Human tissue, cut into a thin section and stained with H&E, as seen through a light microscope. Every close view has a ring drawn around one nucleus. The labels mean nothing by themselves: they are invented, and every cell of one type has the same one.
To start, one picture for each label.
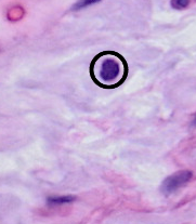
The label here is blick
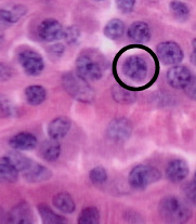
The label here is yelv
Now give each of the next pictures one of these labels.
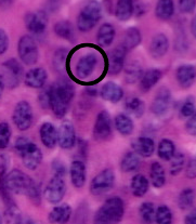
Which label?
yelv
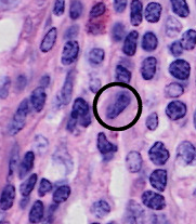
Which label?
blick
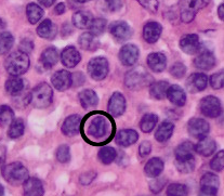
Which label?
blick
